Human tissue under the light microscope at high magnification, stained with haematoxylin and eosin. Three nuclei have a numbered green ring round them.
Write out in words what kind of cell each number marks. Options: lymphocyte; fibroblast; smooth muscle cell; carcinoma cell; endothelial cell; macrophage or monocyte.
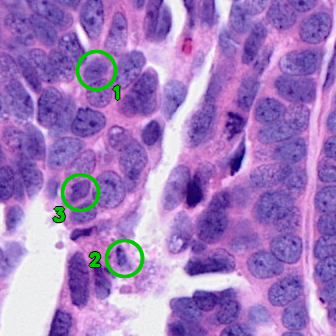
Cell 1 is a carcinoma cell, cell 2 is a macrophage or monocyte and cell 3 is a carcinoma cell.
